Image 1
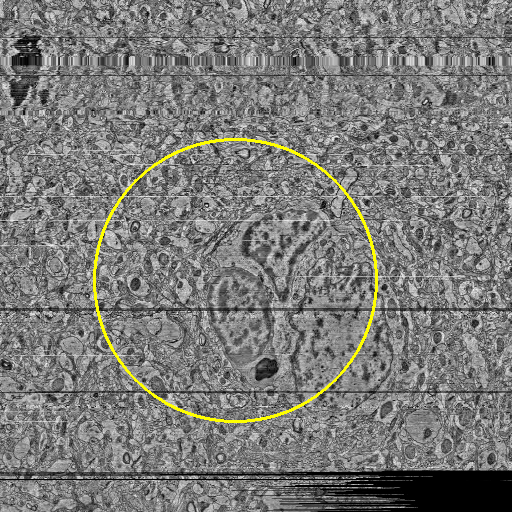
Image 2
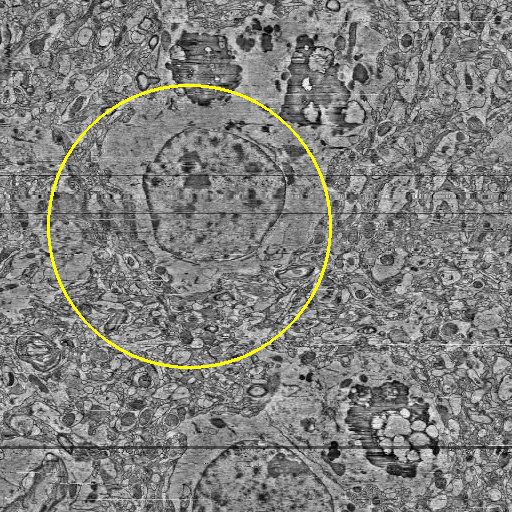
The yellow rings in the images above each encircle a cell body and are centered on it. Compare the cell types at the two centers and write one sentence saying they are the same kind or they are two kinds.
Taken together, the two cells at the ring centers are two kinds.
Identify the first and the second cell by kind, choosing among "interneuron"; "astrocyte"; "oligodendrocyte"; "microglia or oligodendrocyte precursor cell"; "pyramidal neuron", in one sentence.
The one in the first picture is an oligodendrocyte, while the one in the second is an astrocyte.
